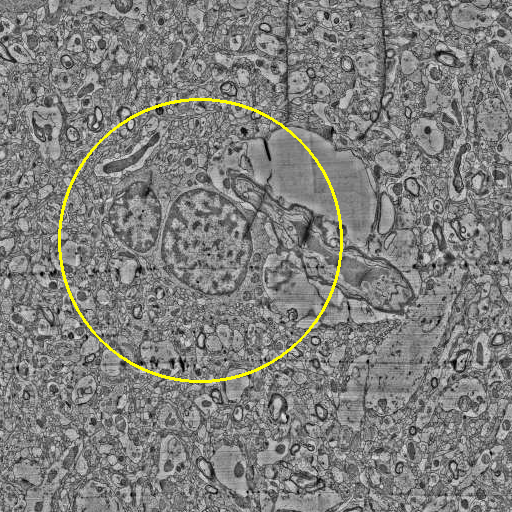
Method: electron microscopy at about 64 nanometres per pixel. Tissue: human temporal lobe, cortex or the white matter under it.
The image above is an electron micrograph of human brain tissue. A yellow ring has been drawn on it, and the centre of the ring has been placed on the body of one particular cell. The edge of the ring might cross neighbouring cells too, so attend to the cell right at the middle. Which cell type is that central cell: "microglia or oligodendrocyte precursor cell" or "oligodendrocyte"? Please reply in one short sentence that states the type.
The central cell in the ring is an oligodendrocyte.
